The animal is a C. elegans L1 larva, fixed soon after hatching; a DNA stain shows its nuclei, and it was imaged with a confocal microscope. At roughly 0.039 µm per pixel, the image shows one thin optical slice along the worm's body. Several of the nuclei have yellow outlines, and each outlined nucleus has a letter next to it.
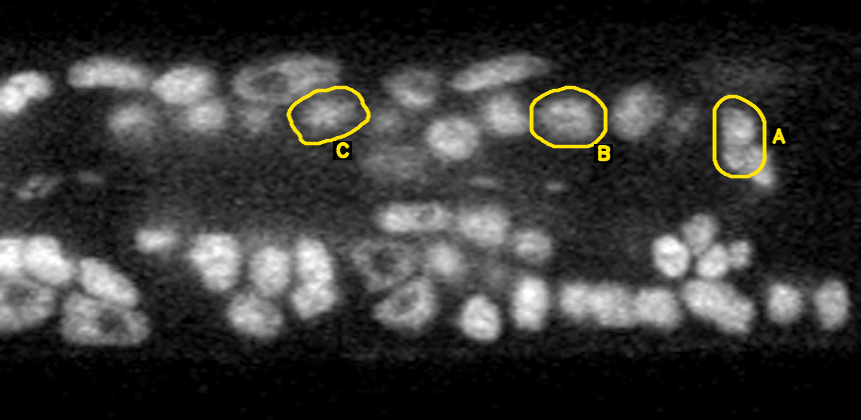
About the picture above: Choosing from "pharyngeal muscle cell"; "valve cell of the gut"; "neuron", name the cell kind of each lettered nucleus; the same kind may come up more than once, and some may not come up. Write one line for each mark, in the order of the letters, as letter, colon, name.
A: valve cell of the gut
B: pharyngeal muscle cell
C: neuron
